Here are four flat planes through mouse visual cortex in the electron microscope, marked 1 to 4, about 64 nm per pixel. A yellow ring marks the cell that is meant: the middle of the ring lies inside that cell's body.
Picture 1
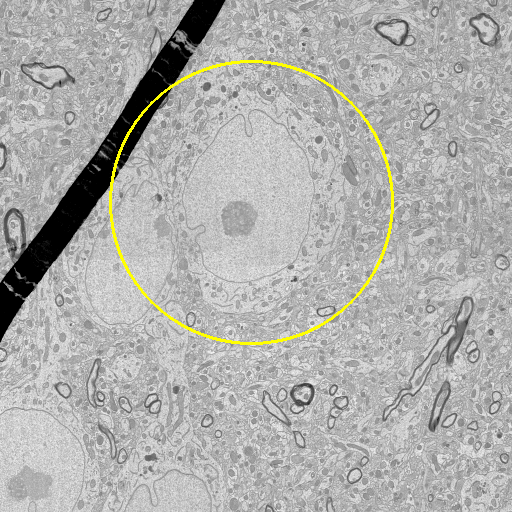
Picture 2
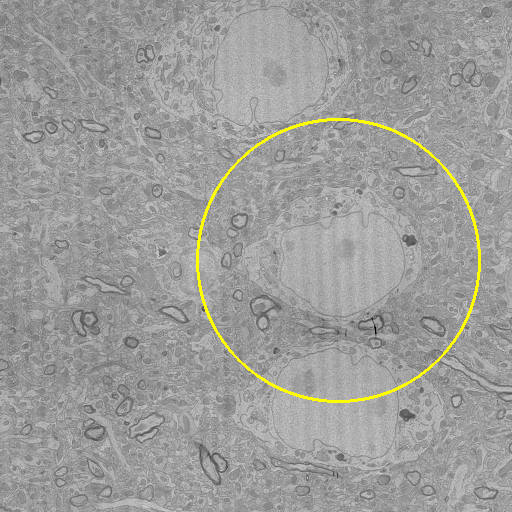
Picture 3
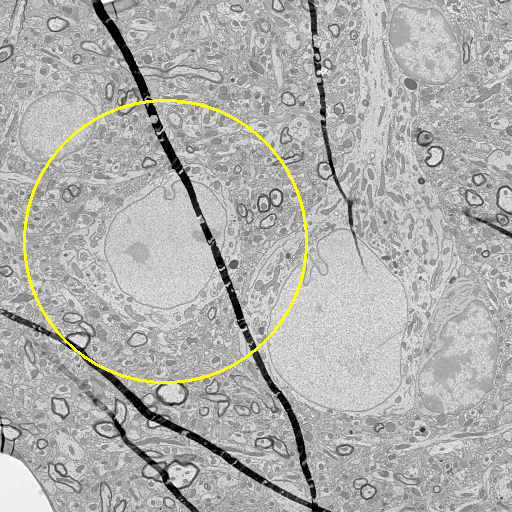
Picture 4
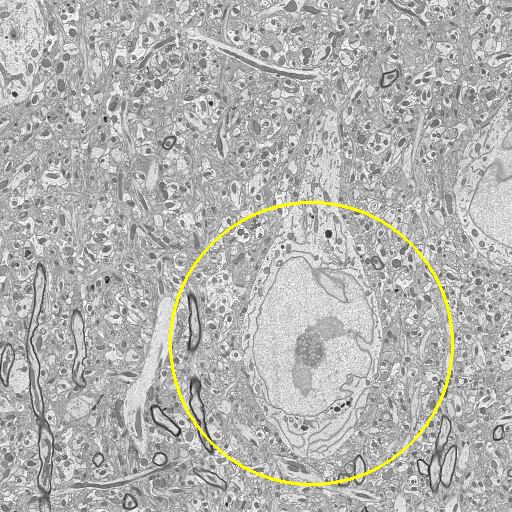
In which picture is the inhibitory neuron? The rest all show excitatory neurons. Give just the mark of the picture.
4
